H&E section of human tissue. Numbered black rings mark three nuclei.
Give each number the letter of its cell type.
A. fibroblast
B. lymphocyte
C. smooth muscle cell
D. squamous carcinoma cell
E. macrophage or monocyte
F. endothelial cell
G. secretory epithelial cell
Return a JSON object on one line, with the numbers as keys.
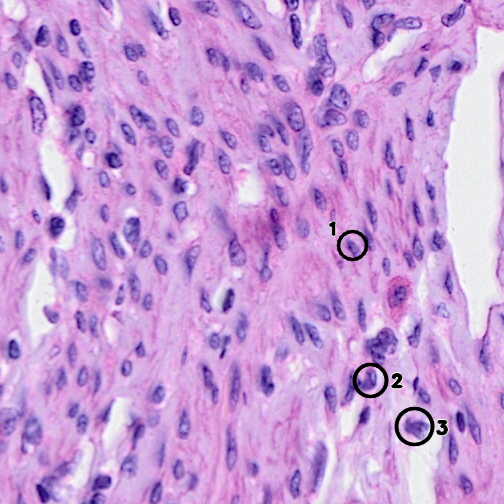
{"1": "C", "2": "B", "3": "B"}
